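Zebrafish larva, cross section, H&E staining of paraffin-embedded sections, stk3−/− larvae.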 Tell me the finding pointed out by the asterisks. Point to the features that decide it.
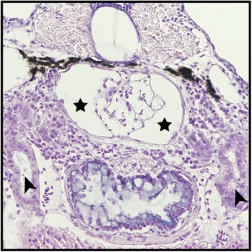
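A large, round, mostly empty cavity lies below the notochord. A small tuft of loose tissue sits inside the cavity. The cavity is bounded by a thin wall. So: glomerular cysts with enlarged Bowman's space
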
